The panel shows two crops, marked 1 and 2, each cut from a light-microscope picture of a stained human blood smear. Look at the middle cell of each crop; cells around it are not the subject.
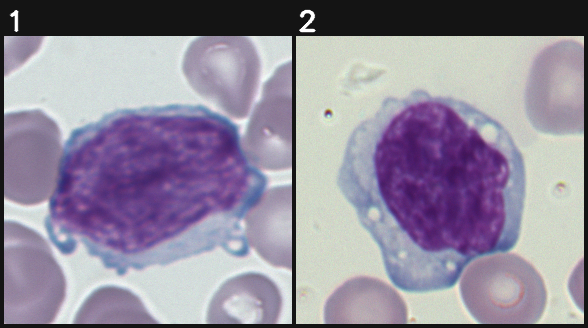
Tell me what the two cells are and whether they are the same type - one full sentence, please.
Yes, both crops are centred on cells that are myeloblasts.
